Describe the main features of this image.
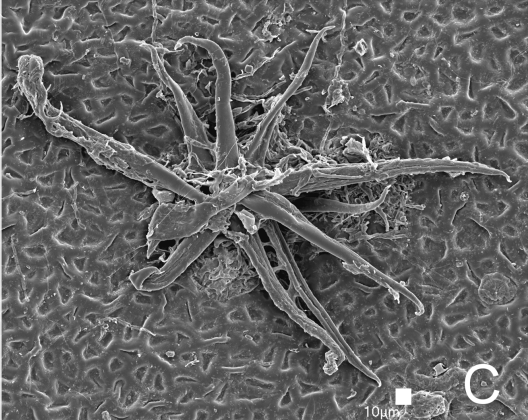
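A single large star-shaped outgrowth rests on a surface of small epidermal cells whose outlines are faintly wavy. From a compact centre, about a dozen long, slender, somewhat flattened arms radiate in all directions, some straight, some curving, a few with fine teeth or roughened edges along their length. The arms taper toward their tips and overlap one another near the base. Some debris clings around the centre. This is a stellate trichome, a branched hair with many arms, on the leaf epidermis.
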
